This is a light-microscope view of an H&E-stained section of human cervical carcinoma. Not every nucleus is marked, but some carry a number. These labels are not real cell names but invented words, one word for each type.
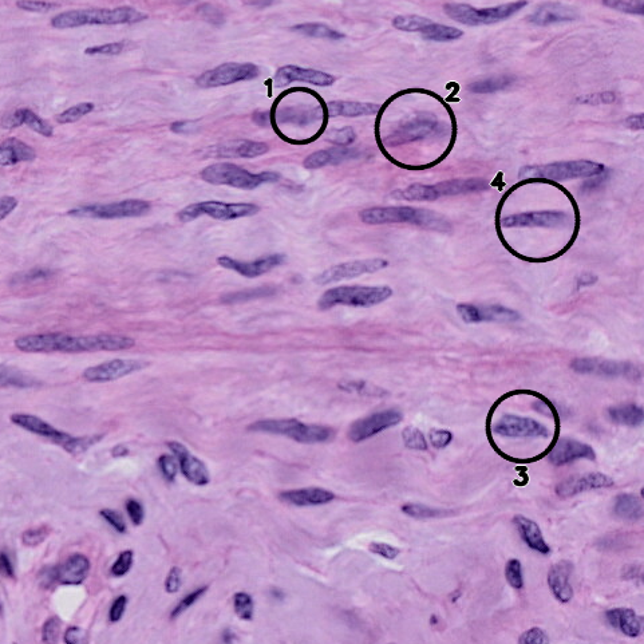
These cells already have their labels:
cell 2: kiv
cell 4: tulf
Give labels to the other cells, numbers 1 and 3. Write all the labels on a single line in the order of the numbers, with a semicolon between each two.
kiv; tulf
